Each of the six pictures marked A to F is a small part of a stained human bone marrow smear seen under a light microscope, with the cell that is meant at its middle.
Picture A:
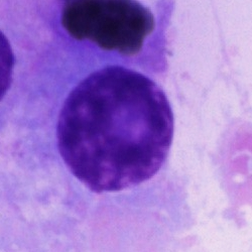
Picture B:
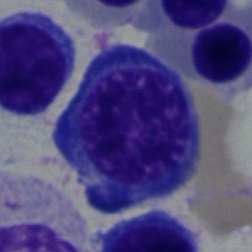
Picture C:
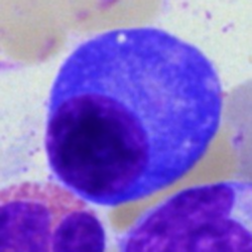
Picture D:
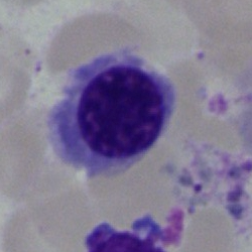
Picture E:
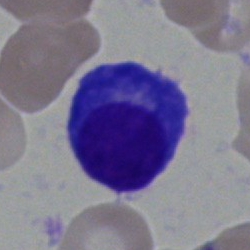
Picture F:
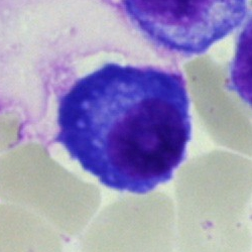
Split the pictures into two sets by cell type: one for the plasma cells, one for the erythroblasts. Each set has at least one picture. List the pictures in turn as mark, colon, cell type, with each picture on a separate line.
A: plasma cell
B: erythroblast
C: plasma cell
D: erythroblast
E: plasma cell
F: plasma cell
